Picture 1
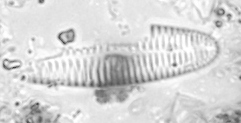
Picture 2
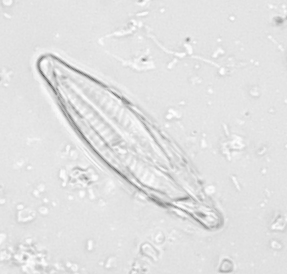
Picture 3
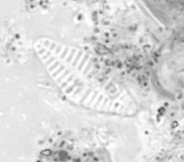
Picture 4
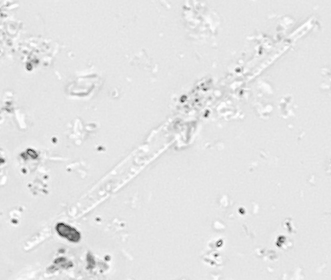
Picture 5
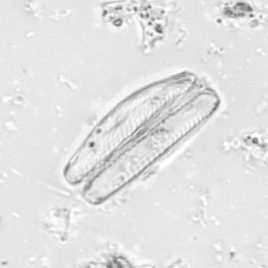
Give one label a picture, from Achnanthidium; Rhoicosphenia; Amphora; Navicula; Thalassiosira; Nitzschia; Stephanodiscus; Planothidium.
1: Rhoicosphenia
2: Navicula
3: Planothidium
4: Nitzschia
5: Navicula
